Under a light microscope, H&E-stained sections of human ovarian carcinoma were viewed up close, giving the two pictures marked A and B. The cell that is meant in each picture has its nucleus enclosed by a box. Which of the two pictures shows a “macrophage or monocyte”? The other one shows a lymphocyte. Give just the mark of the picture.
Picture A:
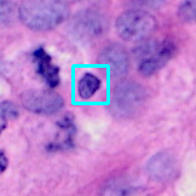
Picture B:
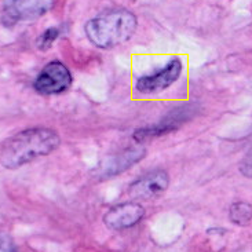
B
